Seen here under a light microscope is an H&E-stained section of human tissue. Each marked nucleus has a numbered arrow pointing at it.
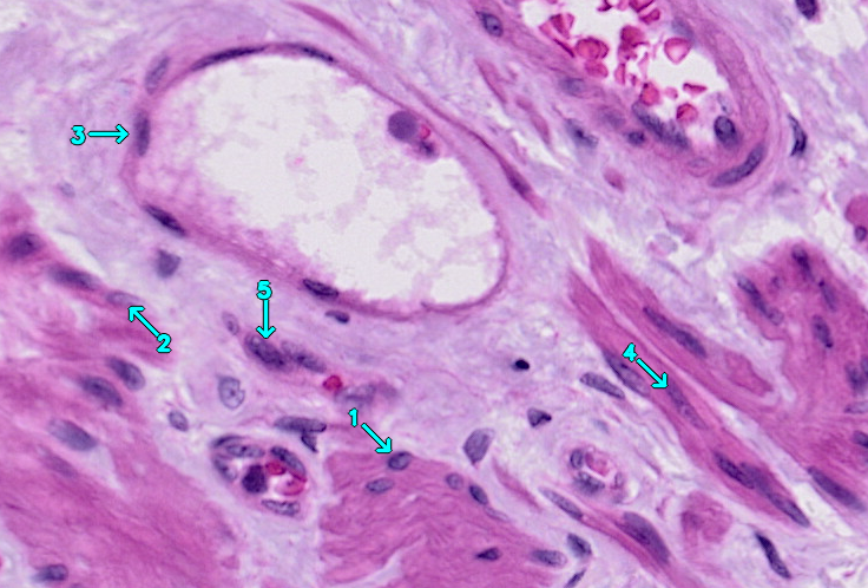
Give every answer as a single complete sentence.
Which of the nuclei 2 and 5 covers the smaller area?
Nucleus 2 is the smaller one; nucleus 5 covers about 2 times its area.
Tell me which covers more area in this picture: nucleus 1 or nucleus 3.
At about 2 times the area of nucleus 1, nucleus 3 is the larger of the two.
